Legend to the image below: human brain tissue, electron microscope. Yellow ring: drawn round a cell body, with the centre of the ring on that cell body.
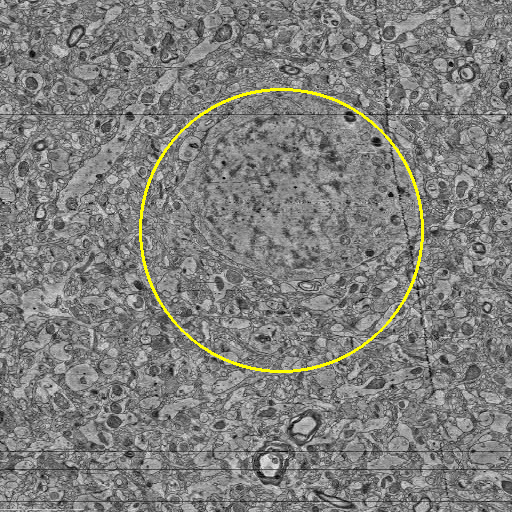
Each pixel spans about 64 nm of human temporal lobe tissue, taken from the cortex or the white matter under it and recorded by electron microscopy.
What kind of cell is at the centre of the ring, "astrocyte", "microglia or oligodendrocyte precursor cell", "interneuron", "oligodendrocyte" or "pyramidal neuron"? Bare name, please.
interneuron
